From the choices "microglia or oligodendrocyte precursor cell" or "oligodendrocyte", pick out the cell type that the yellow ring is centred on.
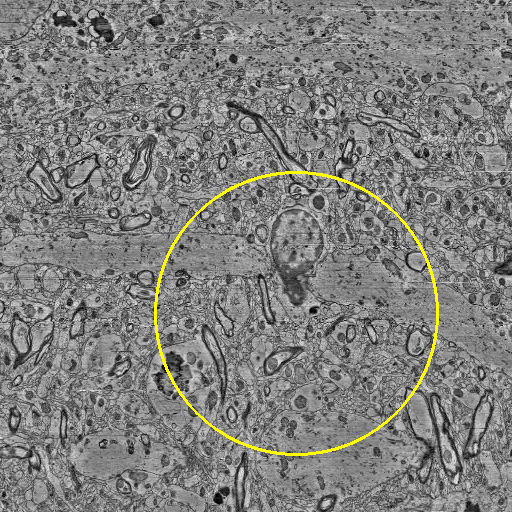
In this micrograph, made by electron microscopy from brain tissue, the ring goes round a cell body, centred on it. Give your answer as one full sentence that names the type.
The yellow ring is centred on a microglial cell or oligodendrocyte precursor cell, whose cell body it encircles in the picture.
